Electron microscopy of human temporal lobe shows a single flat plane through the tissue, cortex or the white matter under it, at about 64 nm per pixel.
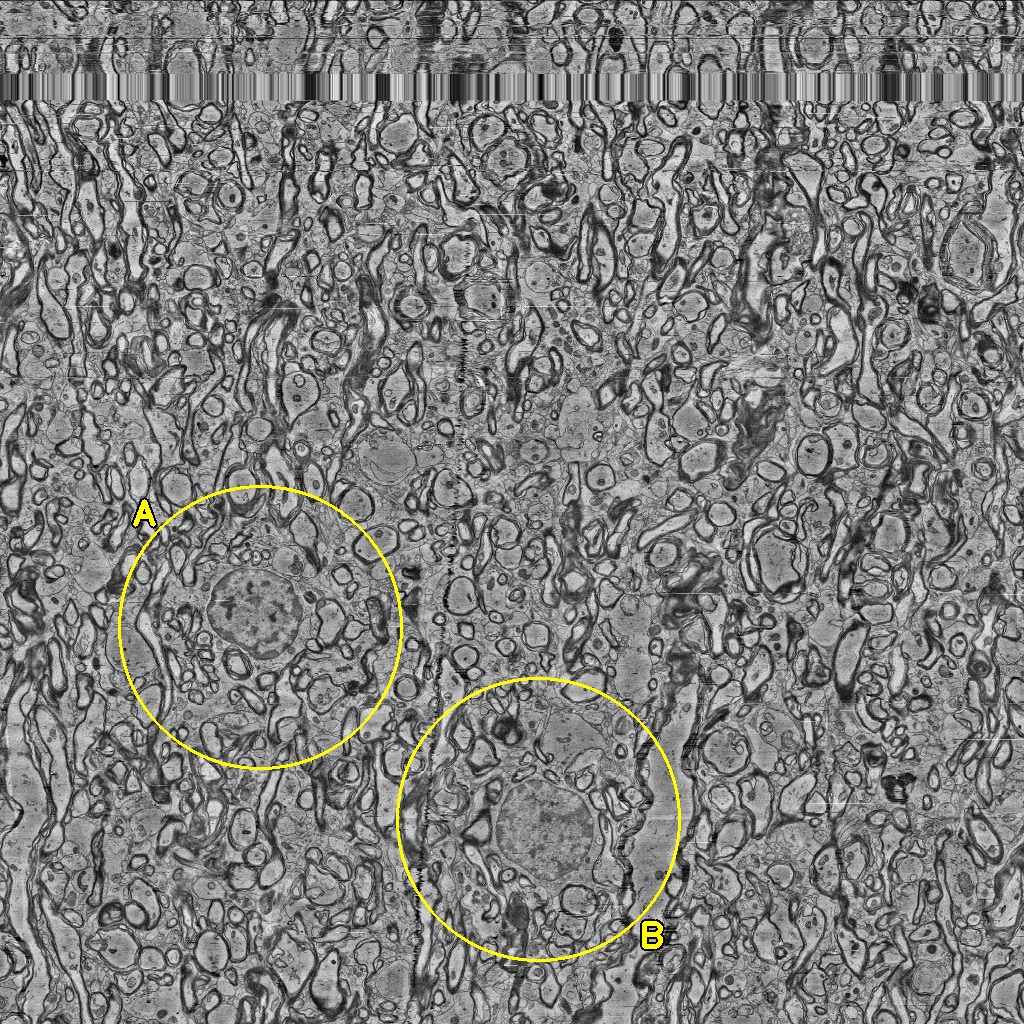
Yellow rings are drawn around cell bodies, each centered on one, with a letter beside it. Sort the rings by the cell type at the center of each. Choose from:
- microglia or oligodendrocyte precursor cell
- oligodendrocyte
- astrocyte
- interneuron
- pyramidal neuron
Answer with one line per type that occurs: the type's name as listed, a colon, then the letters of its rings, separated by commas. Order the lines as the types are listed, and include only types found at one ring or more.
microglia or oligodendrocyte precursor cell: A
oligodendrocyte: B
